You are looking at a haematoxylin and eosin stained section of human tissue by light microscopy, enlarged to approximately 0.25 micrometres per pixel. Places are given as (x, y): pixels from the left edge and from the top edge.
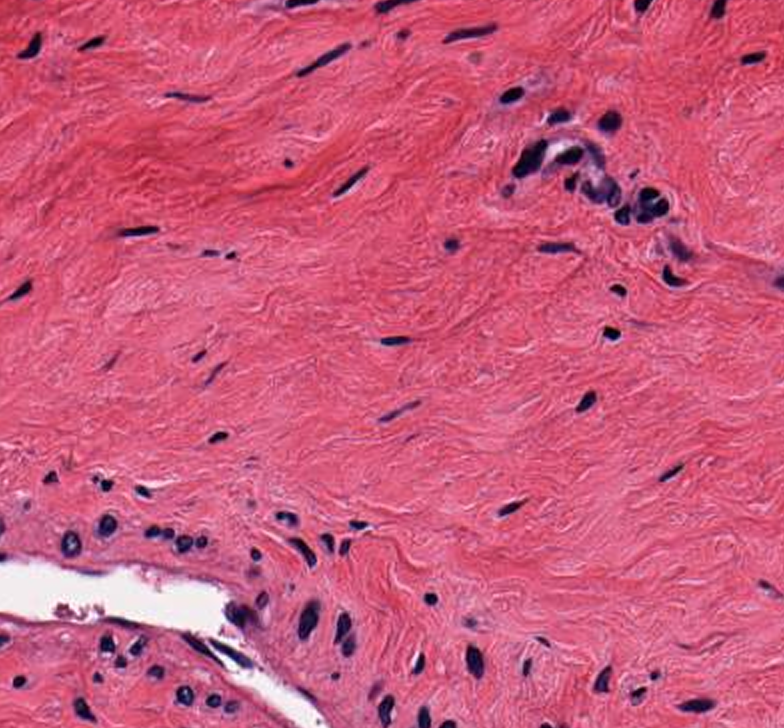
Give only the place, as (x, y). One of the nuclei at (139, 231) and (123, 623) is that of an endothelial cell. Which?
(123, 623)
